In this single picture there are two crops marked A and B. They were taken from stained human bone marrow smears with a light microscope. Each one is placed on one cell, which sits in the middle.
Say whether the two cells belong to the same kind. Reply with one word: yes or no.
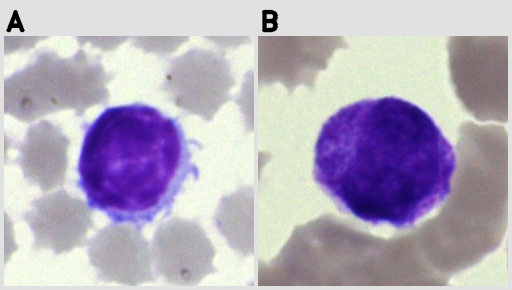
no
